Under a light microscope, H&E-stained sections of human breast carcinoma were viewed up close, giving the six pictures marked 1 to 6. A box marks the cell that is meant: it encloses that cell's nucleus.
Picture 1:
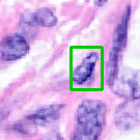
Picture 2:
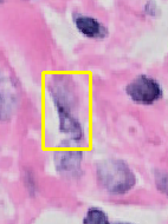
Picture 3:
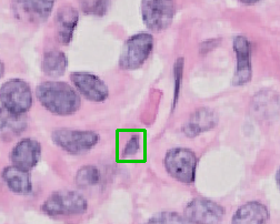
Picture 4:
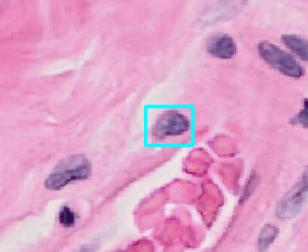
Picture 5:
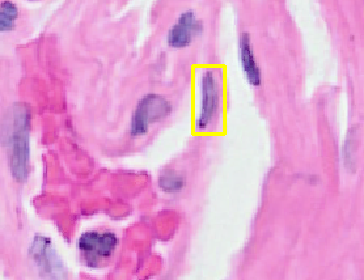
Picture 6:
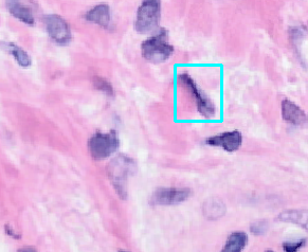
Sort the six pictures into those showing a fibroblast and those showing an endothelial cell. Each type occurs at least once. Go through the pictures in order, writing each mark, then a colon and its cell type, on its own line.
1: endothelial cell
2: fibroblast
3: endothelial cell
4: endothelial cell
5: endothelial cell
6: fibroblast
